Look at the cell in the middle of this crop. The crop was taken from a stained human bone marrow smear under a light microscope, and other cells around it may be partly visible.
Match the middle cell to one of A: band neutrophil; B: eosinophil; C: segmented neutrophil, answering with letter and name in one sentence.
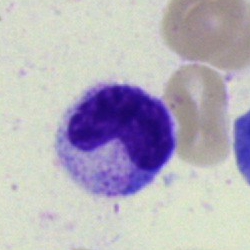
The right choice is option A: the cell in the middle is a band neutrophil.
